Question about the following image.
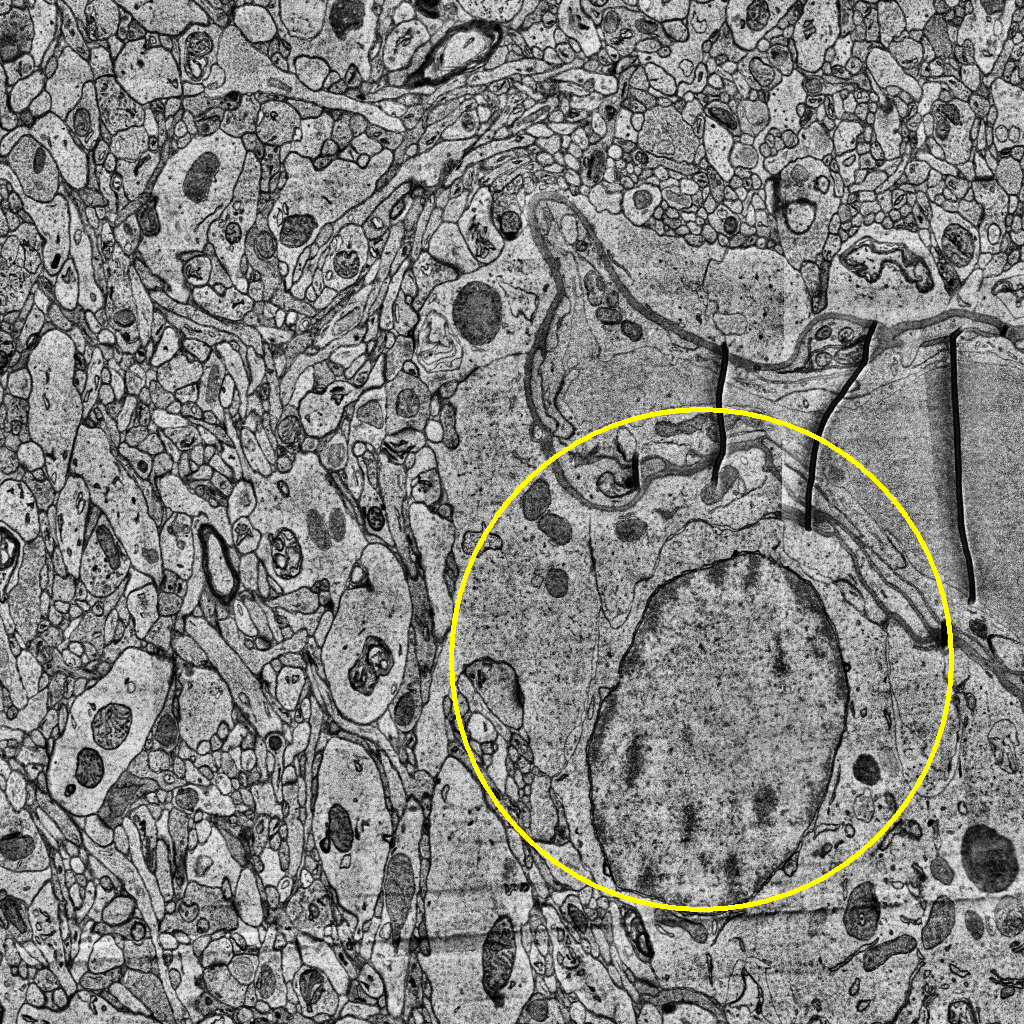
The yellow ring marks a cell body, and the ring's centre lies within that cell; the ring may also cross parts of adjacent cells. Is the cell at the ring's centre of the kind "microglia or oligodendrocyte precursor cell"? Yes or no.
Yes, it is of that kind.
